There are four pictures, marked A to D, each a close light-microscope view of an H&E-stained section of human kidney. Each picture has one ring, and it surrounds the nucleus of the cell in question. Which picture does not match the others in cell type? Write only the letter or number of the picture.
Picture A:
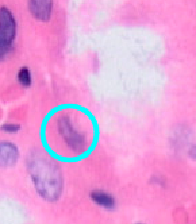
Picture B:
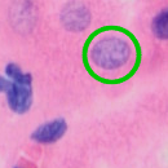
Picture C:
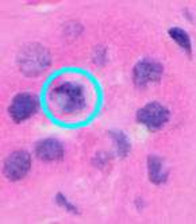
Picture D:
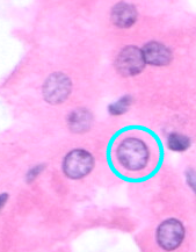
C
